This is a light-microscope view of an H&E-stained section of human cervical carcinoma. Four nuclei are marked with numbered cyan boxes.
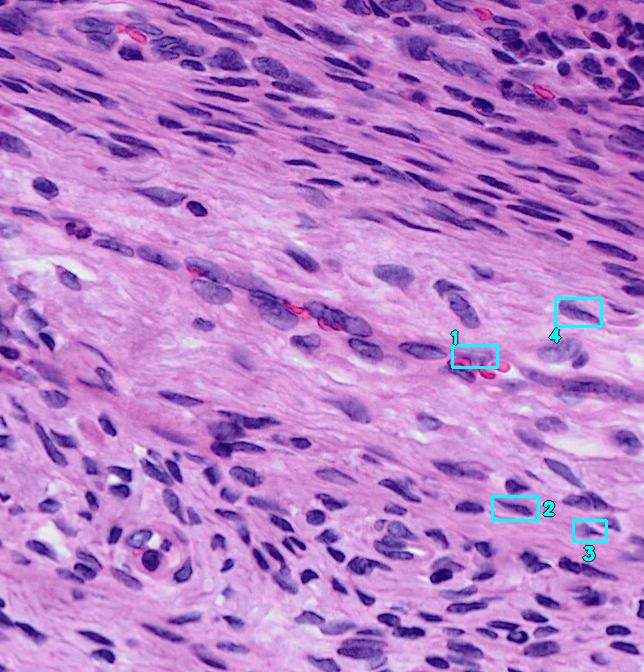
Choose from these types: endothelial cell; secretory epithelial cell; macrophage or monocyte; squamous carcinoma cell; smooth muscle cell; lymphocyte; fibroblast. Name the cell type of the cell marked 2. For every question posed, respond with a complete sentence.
Recognised here as a fibroblast is the cell numbered 2.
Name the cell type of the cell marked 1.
That cell with number 1 is an endothelial cell.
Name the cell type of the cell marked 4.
The cell that bears the number 4 is a fibroblast.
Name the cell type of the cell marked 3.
Heads up, the cell numbered 3 is a fibroblast.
